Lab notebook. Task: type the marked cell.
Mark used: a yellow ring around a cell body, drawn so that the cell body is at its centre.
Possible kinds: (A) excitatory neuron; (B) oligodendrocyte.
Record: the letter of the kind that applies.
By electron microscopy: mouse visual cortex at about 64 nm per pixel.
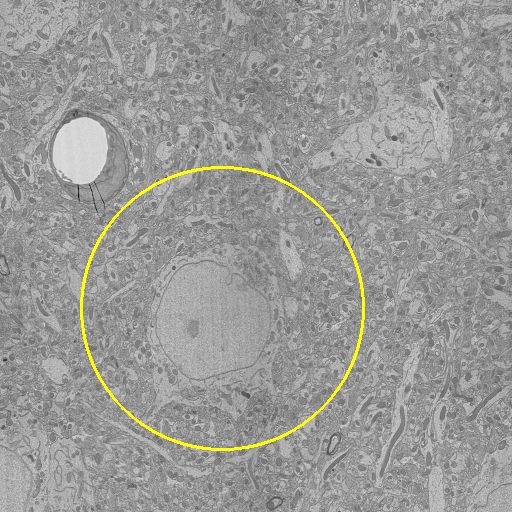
A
